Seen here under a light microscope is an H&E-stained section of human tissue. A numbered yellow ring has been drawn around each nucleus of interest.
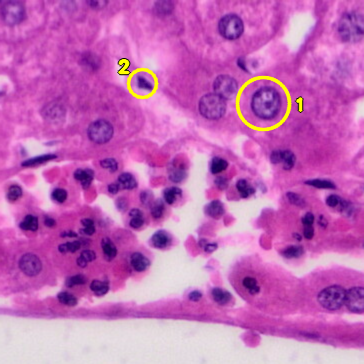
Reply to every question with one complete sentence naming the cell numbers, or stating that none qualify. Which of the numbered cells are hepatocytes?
The numbered cell that is a hepatocyte is cell 1, and it is the only one.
